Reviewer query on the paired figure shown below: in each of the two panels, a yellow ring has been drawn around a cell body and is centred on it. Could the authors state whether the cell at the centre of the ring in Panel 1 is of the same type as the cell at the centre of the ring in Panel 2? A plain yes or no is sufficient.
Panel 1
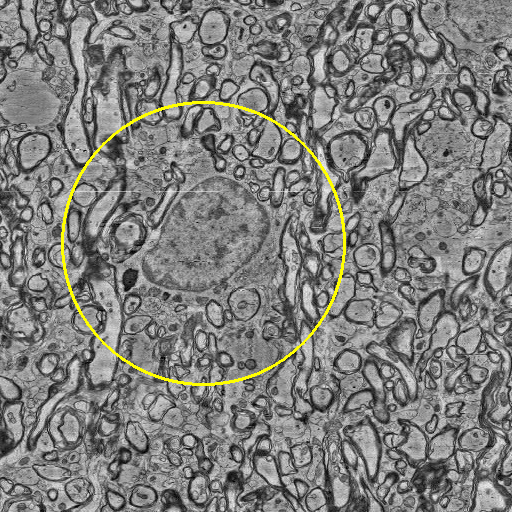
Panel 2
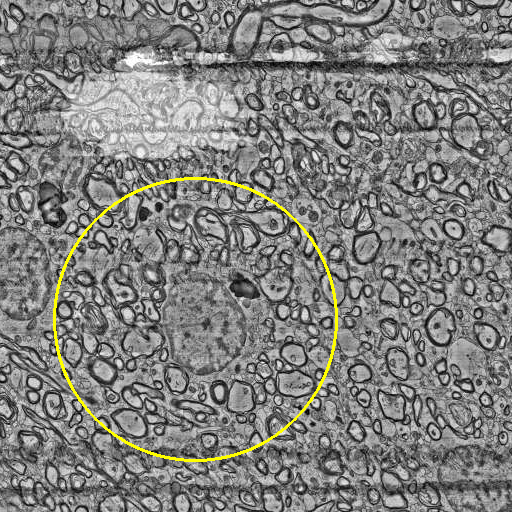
yes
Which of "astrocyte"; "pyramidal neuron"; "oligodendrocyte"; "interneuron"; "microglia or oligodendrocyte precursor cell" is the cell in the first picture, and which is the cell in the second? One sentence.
The cell in the first picture is an oligodendrocyte, and so is the one in the second.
